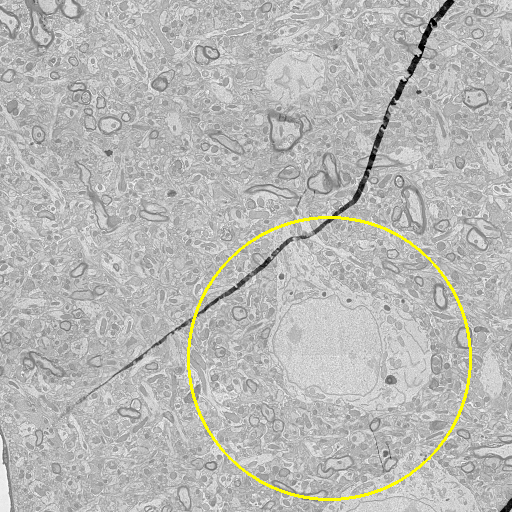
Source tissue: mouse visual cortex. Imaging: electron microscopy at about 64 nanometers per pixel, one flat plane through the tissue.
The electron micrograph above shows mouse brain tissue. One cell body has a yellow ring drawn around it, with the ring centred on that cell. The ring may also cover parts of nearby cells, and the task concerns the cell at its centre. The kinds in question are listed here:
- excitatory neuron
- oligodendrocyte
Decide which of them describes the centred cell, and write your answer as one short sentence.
The centred cell is an excitatory neuron.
